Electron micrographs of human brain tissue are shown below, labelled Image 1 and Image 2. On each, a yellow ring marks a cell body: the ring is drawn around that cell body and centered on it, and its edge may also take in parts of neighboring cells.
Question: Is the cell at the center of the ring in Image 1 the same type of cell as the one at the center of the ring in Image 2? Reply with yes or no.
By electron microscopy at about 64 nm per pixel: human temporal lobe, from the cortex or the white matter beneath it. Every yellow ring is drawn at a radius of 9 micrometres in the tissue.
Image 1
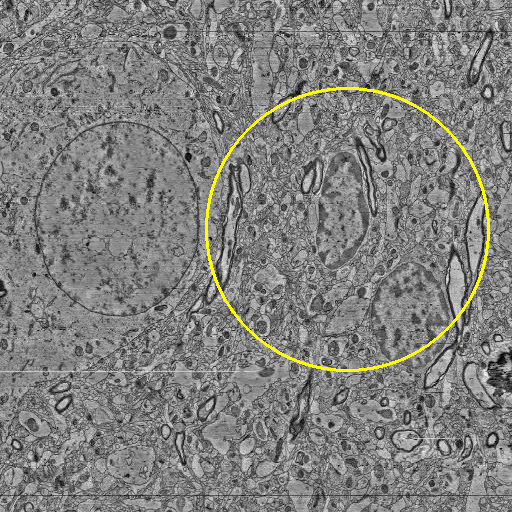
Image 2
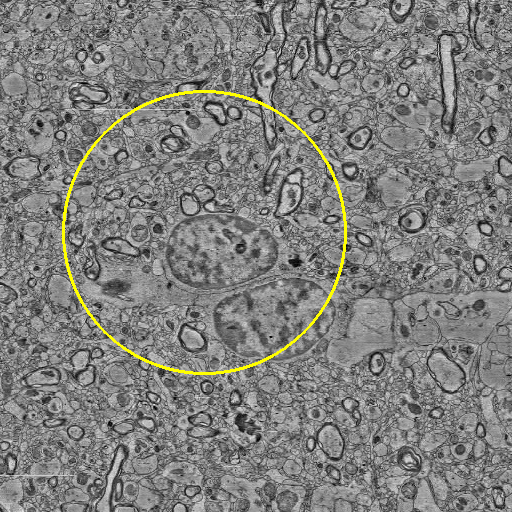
no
